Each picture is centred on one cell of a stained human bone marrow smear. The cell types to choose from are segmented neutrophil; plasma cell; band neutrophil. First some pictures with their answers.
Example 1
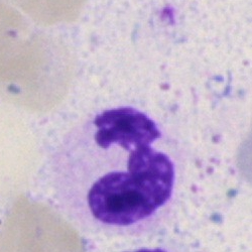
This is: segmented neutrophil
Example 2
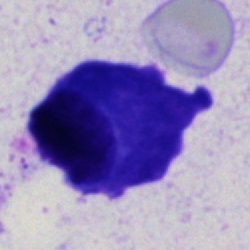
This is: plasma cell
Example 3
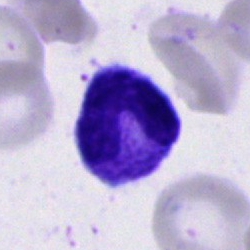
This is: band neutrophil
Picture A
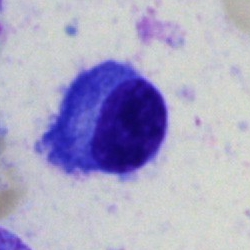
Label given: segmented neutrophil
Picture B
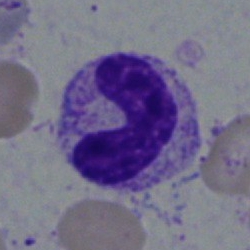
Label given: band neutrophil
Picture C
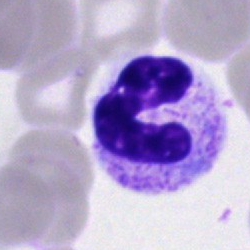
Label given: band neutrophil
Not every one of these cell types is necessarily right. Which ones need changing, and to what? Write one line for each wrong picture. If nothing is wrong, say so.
A: change segmented neutrophil to plasma cell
